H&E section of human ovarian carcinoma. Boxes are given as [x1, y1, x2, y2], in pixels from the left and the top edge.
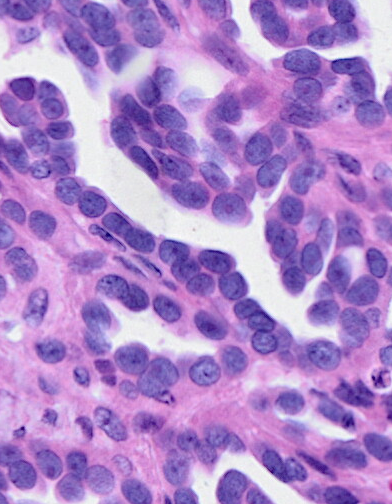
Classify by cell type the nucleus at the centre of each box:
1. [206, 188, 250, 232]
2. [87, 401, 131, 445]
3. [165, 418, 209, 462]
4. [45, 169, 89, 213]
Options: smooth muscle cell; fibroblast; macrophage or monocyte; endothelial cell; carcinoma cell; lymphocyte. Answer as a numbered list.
1. carcinoma cell
2. fibroblast
3. carcinoma cell
4. carcinoma cell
